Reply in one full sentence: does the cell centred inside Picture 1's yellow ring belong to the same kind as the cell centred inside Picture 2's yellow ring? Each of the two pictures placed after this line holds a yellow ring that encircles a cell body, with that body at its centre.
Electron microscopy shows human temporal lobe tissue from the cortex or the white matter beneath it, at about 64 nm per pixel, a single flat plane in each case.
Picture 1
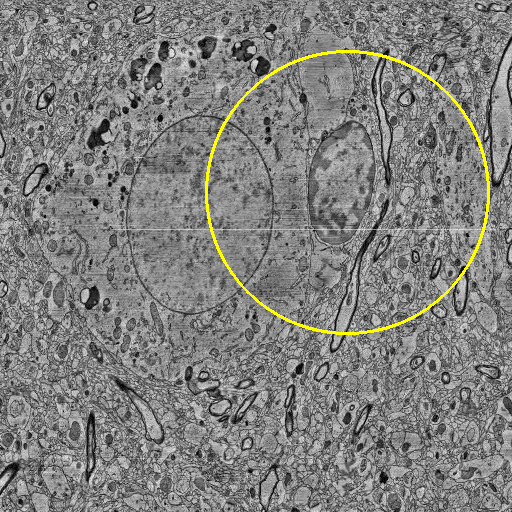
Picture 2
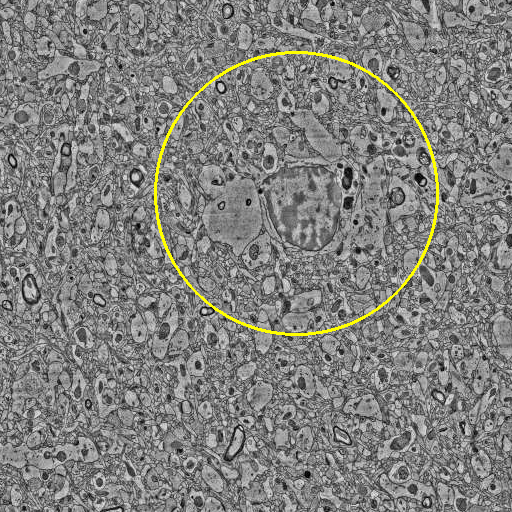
Yes, the ring-centred cells in Picture 1 and Picture 2 are of one and the same kind.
